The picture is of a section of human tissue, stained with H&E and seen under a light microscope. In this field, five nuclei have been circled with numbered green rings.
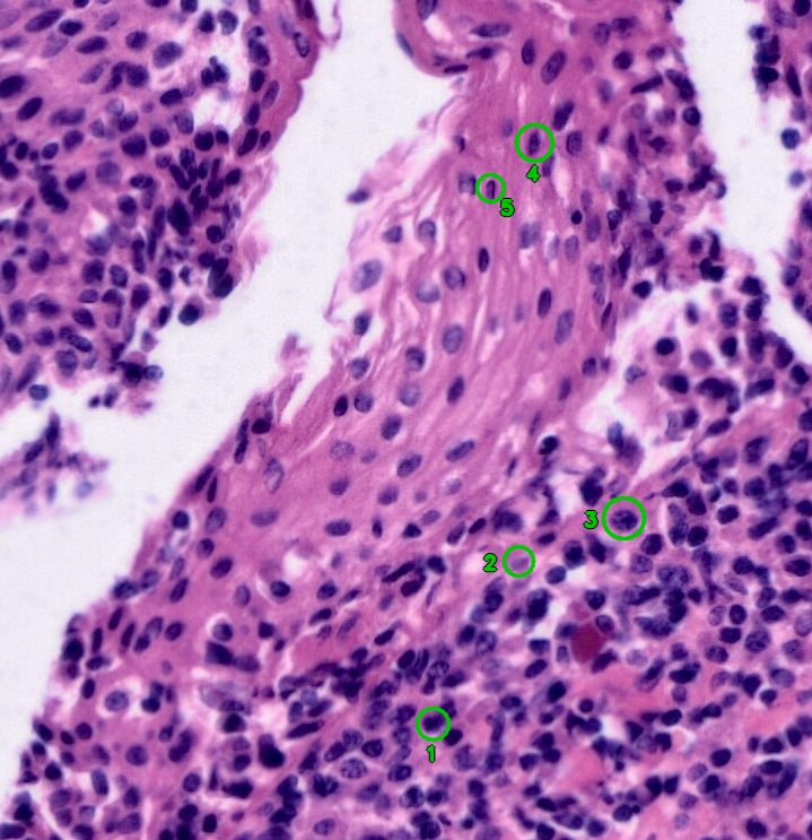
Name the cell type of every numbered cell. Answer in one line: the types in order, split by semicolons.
plasma cell; endothelial cell; plasma cell; squamous epithelial cell; squamous epithelial cell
